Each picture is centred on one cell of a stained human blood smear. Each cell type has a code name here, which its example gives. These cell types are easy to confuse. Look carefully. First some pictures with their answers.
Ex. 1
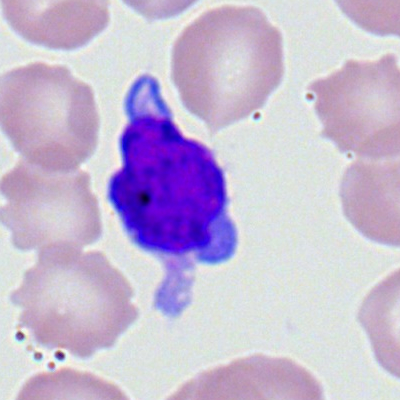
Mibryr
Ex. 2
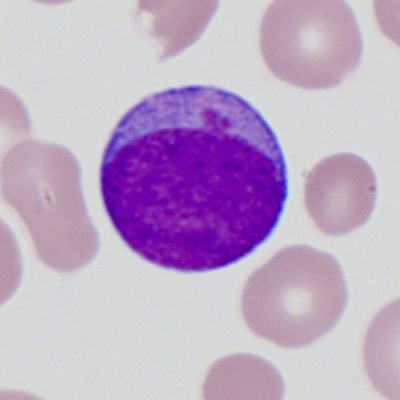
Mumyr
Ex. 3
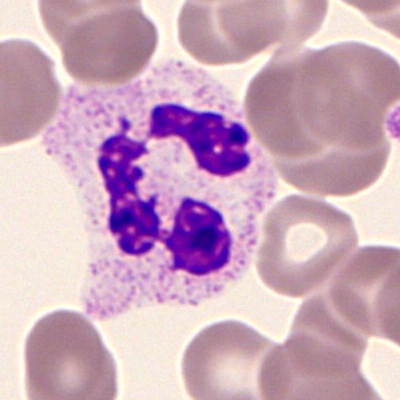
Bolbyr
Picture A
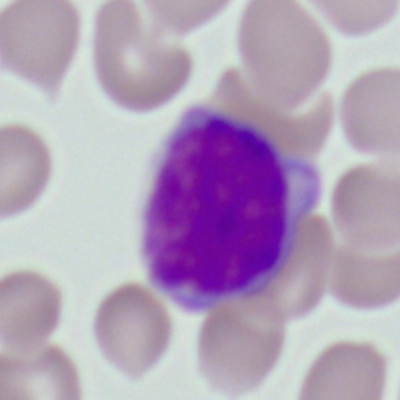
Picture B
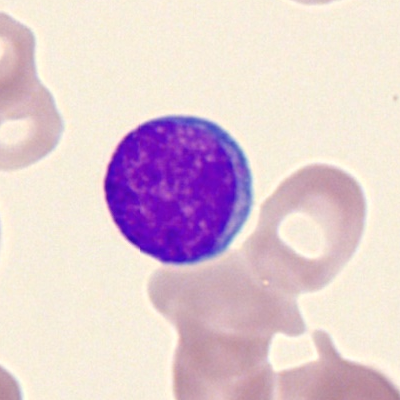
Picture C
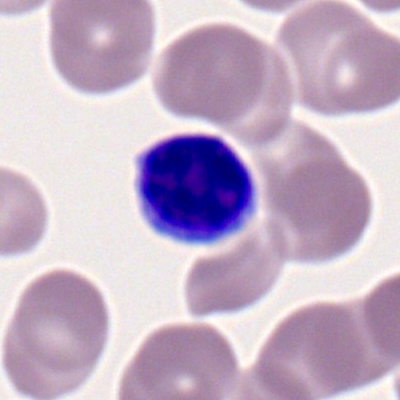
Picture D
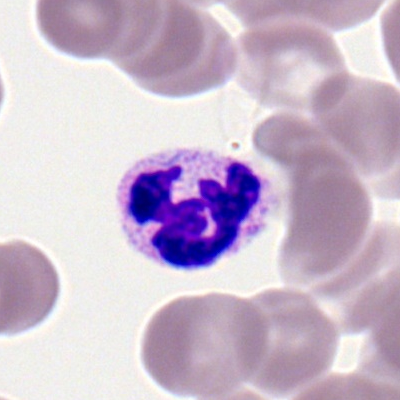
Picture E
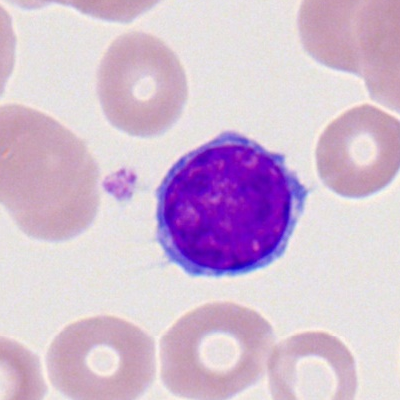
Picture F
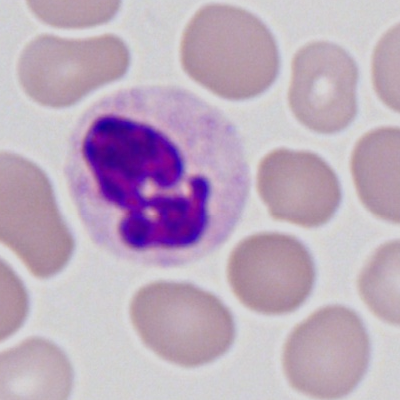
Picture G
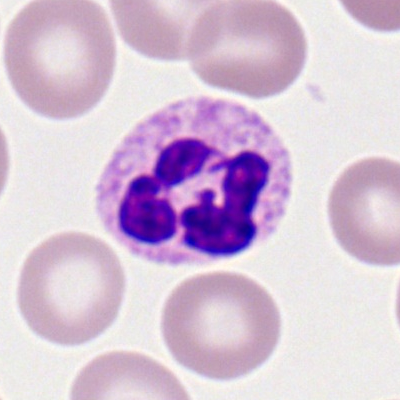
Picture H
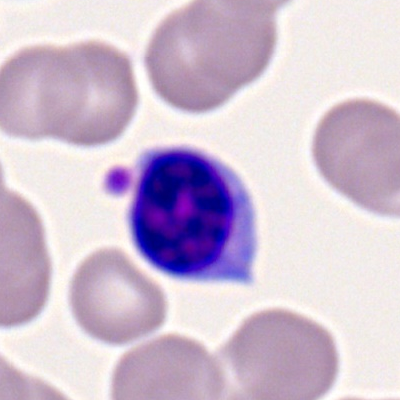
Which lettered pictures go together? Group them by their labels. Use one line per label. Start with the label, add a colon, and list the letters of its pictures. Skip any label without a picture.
Mibryr: C, E, H
Mumyr: A, B
Bolbyr: D, F, G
